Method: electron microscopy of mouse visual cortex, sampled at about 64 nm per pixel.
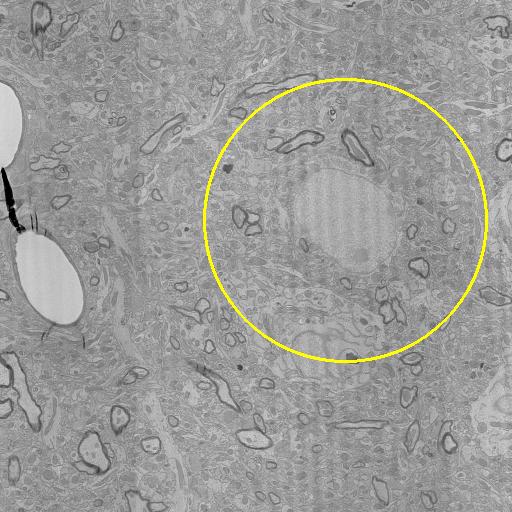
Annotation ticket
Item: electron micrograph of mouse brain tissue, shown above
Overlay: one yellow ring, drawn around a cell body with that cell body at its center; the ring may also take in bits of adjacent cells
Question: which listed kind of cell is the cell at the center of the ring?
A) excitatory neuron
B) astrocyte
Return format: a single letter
B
